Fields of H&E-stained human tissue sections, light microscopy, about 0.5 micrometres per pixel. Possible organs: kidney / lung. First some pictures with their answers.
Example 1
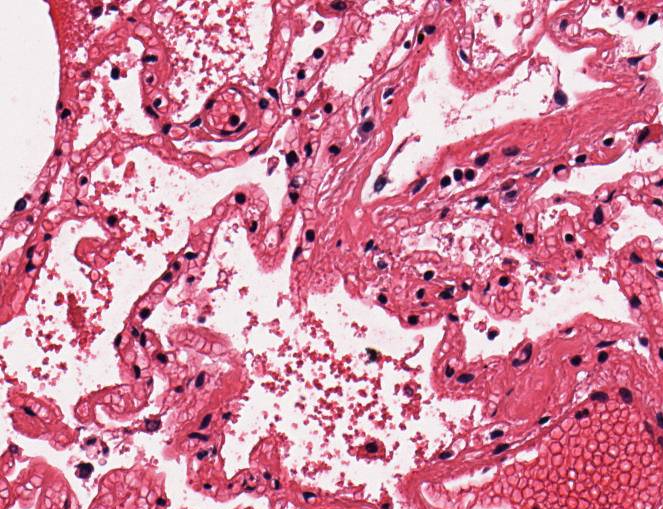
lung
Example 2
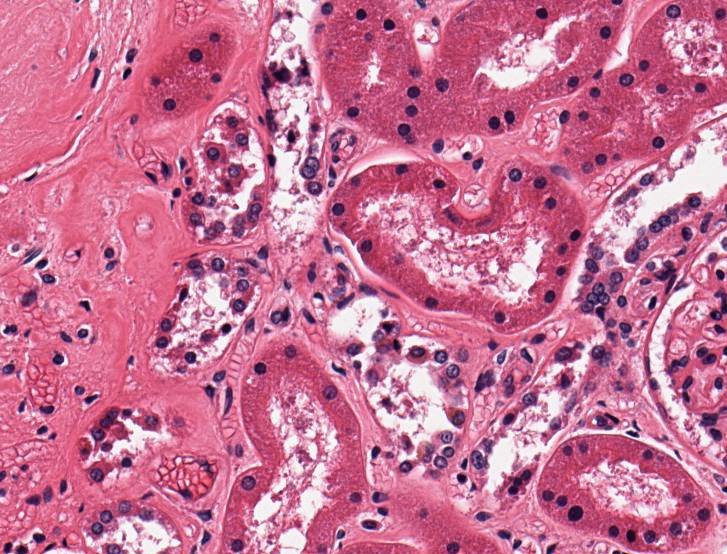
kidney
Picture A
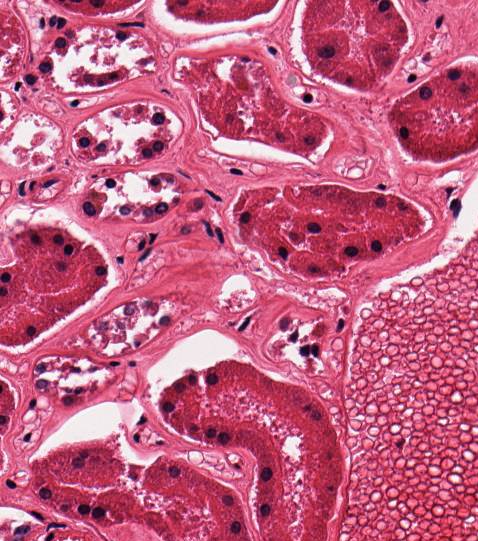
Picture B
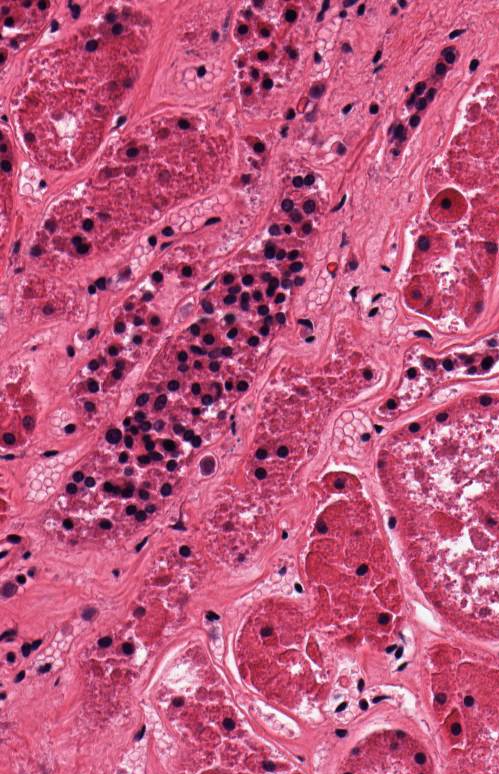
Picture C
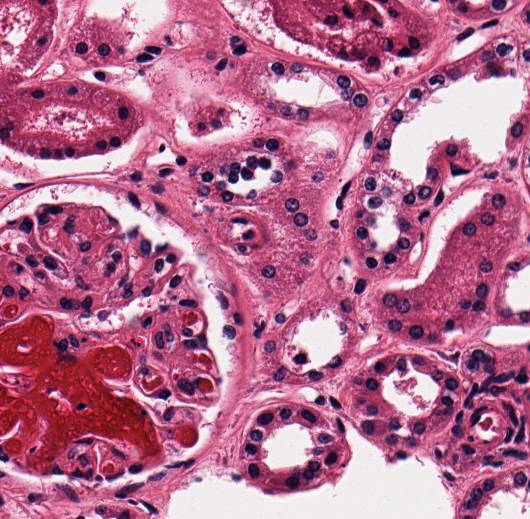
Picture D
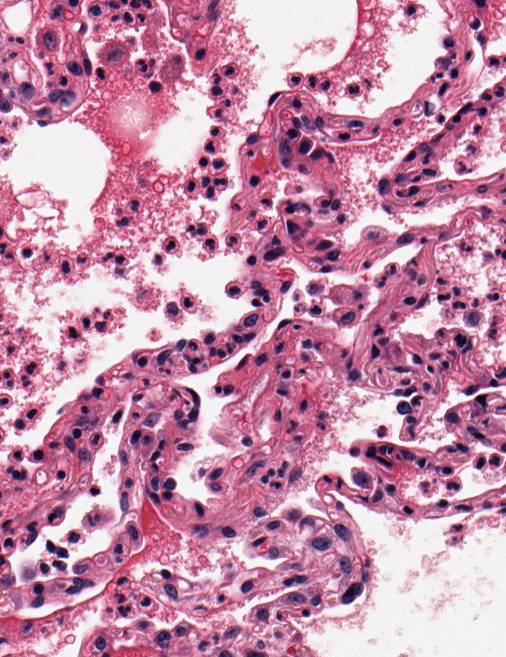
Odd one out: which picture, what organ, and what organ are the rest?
Exception: D, showing lung. Remaining pictures: kidney.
